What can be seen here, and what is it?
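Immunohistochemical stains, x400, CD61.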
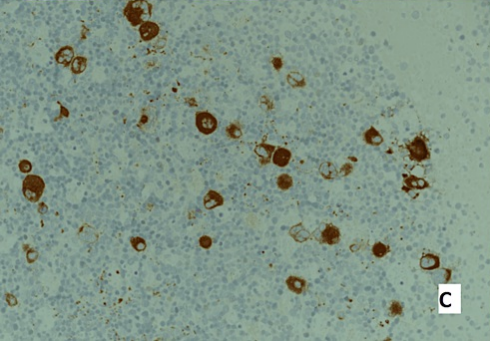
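This bone marrow trephine section shows numerous megakaryocytes picked out in brown among densely packed marrow cells with pale blue nuclei. The brown-stained cells are scattered throughout the field and vary in size, some large with a rim of stained cytoplasm and others small and compact. The surrounding hematopoietic cells remain unstained.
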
